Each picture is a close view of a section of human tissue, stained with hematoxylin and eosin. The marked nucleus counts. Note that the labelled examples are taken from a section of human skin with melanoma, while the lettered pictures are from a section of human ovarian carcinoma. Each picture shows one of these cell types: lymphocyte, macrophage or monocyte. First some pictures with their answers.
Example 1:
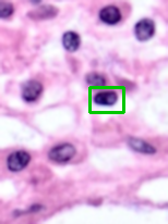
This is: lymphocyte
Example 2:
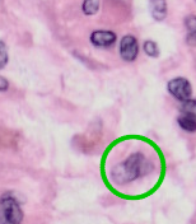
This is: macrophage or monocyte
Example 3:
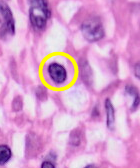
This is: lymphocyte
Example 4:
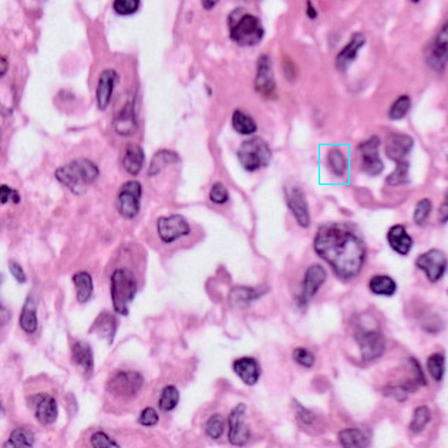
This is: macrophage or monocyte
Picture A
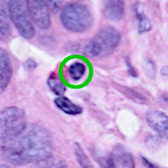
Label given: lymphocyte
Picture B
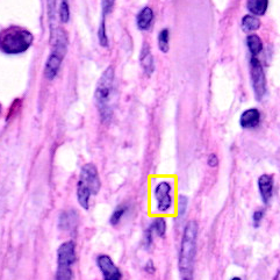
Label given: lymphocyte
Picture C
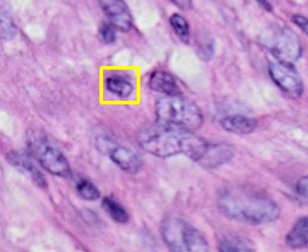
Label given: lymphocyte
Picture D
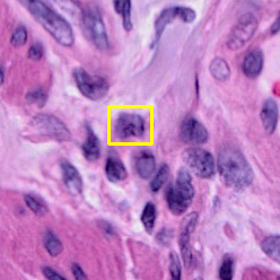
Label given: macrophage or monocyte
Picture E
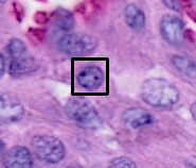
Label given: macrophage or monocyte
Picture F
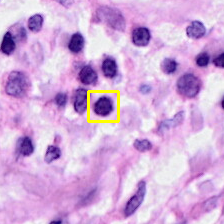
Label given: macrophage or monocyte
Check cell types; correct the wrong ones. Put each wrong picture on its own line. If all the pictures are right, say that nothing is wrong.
C should be macrophage or monocyte, not lymphocyte
F should be lymphocyte, not macrophage or monocyte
